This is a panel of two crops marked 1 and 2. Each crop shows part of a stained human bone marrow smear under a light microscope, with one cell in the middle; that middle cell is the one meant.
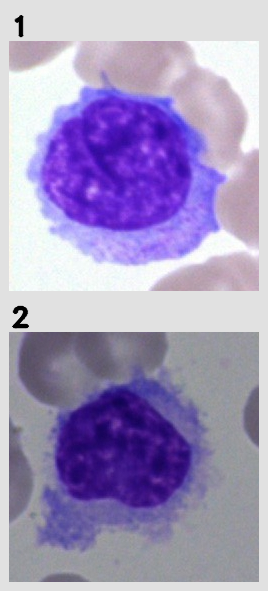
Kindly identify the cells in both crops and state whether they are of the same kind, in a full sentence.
No, crop 1 holds a monocyte, and a hairy cell occupies crop 2.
